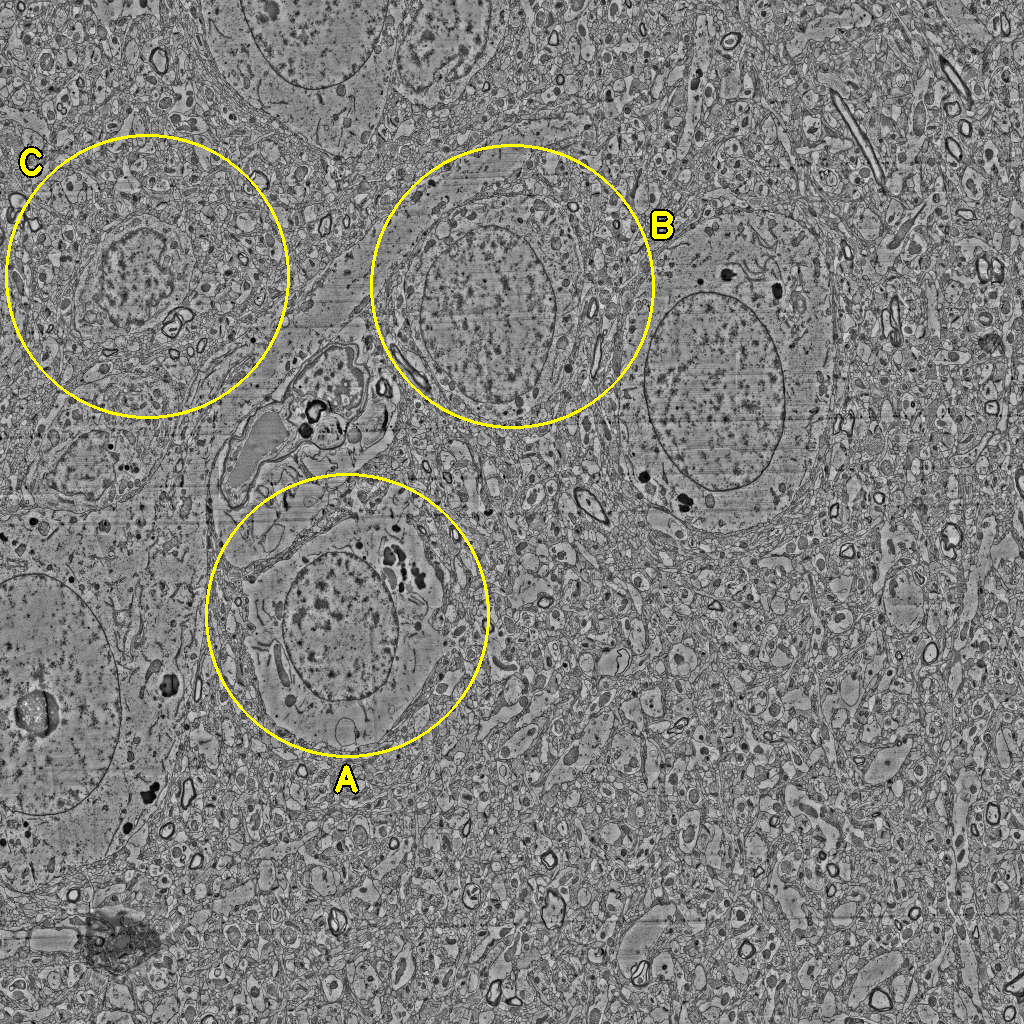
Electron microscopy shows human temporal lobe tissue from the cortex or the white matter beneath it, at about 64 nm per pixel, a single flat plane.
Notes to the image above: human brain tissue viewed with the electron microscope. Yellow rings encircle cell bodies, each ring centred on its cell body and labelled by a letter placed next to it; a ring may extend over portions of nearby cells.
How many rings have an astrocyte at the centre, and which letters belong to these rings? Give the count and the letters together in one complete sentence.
There is one ring, and one only, centred on an astrocyte, and it is lettered A.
